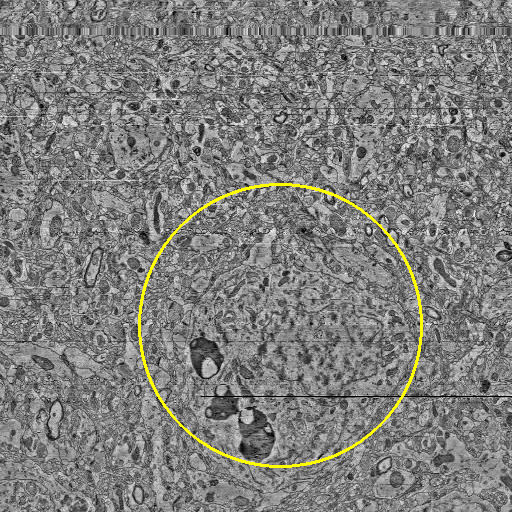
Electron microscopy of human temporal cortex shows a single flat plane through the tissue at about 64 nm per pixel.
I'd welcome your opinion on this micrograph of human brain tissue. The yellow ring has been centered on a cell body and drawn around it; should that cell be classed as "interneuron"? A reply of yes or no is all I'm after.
yes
